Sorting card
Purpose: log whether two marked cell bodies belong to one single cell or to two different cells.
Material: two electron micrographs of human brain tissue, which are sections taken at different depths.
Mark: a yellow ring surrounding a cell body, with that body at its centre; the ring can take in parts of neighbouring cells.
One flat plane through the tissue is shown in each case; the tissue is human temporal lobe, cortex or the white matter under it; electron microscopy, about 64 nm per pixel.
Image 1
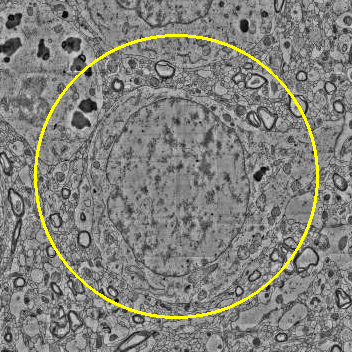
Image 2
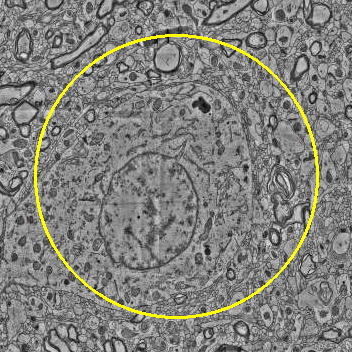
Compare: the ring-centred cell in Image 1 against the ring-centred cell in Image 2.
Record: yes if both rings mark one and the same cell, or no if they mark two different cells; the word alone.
no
